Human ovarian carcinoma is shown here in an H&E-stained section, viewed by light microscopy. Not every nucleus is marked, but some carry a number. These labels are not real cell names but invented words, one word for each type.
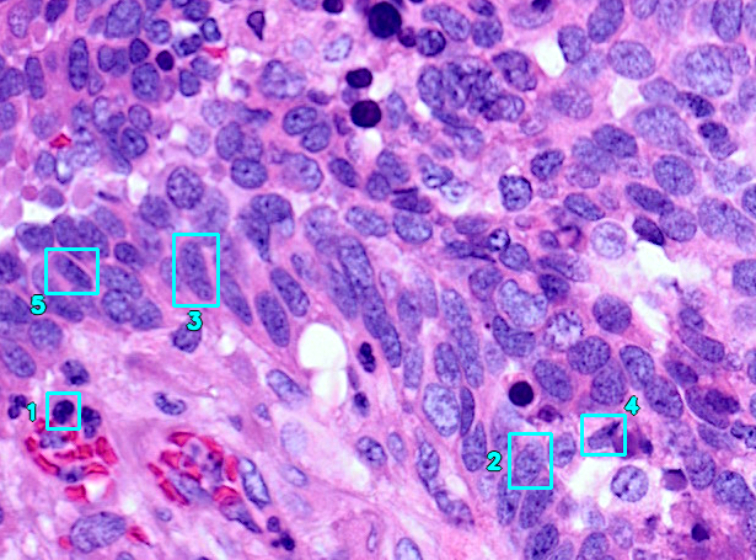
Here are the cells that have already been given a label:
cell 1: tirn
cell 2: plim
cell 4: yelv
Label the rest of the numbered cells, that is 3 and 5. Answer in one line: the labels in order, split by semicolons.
plim; plim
